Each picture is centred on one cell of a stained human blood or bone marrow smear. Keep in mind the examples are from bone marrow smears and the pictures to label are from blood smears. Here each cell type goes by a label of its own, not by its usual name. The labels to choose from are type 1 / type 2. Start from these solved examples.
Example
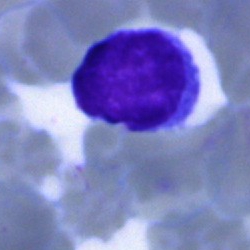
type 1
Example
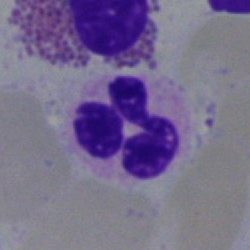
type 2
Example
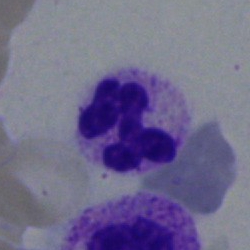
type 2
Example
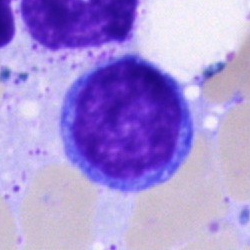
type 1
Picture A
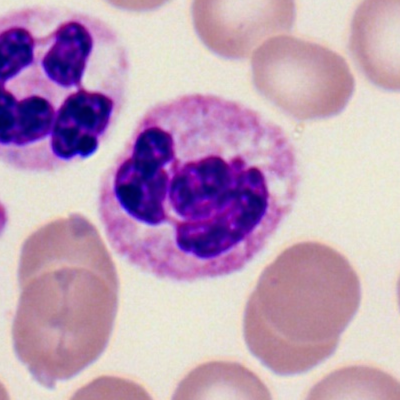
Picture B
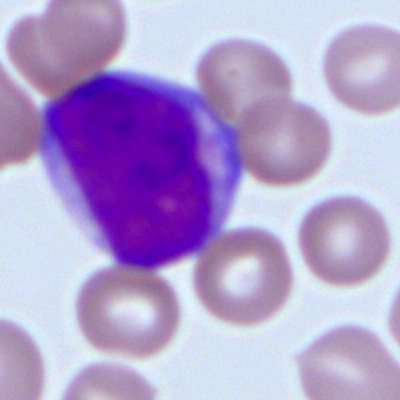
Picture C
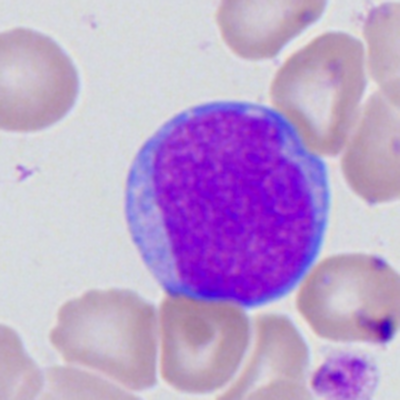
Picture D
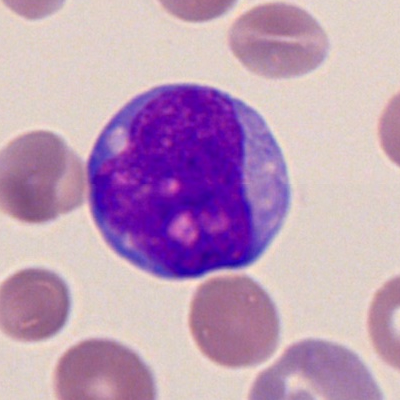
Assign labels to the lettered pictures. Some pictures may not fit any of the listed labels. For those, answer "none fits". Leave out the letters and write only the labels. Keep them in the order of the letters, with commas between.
type 2, none fits, none fits, none fits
